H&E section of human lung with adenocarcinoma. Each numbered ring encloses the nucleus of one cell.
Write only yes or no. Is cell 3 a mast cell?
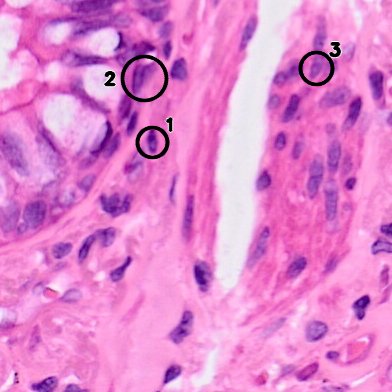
no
